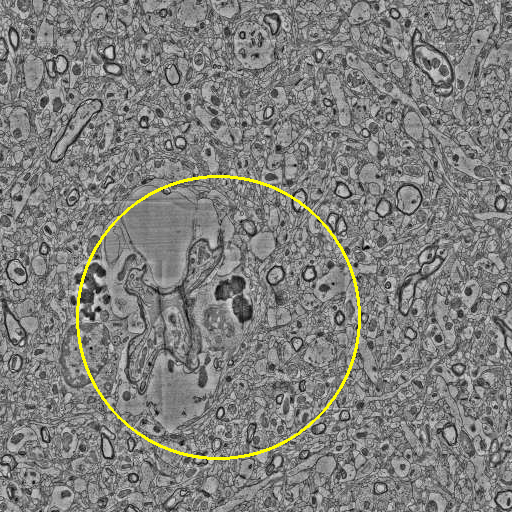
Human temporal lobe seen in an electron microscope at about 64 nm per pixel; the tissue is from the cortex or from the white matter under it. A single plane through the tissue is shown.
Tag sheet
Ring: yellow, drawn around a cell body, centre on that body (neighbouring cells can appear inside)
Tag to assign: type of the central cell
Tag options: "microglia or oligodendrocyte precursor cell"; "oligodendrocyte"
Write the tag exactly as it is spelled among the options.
oligodendrocyte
